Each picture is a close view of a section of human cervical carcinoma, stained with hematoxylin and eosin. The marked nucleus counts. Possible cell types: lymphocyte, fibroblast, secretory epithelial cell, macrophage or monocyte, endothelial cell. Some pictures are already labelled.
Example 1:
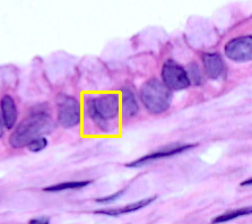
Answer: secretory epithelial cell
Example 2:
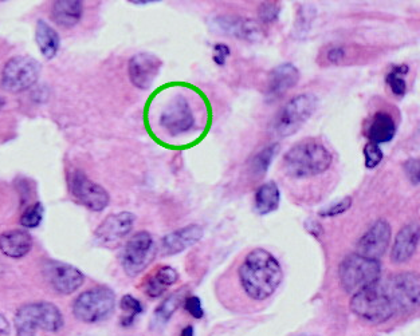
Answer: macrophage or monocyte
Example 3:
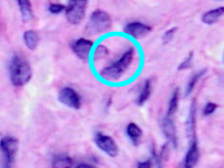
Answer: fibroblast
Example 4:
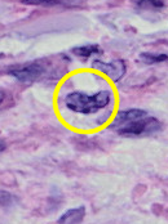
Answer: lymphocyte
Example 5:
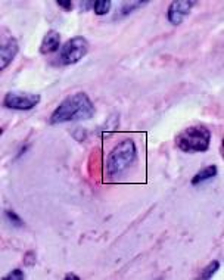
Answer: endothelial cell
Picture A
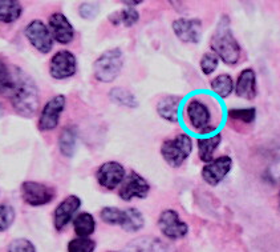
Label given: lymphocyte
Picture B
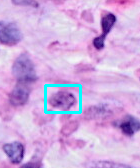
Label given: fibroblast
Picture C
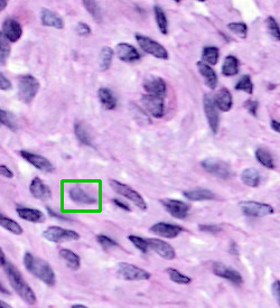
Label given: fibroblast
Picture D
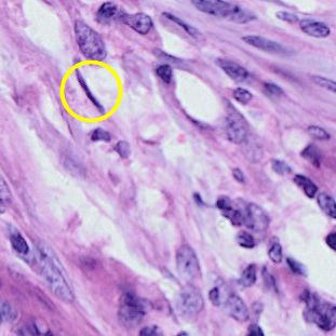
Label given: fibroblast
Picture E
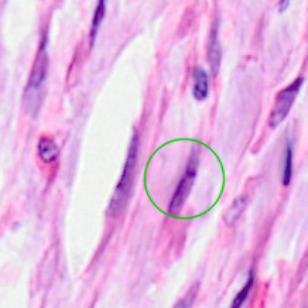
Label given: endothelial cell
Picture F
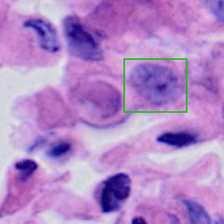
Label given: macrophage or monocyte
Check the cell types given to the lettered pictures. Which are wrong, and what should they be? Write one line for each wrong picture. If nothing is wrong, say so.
E should be fibroblast, not endothelial cell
